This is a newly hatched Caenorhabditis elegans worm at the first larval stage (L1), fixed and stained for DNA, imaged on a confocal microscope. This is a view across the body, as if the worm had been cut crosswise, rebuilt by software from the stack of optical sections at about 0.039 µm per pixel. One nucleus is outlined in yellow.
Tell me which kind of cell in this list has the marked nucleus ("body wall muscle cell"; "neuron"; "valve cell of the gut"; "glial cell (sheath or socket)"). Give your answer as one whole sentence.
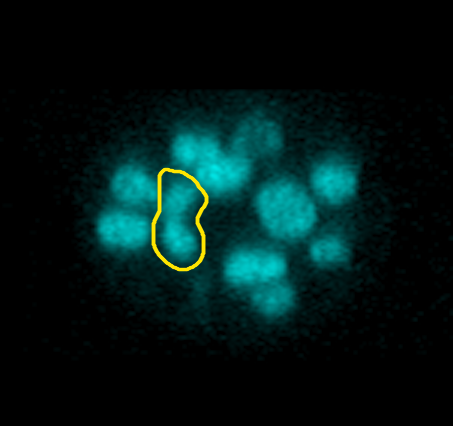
It is the nucleus of a valve cell of the gut.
